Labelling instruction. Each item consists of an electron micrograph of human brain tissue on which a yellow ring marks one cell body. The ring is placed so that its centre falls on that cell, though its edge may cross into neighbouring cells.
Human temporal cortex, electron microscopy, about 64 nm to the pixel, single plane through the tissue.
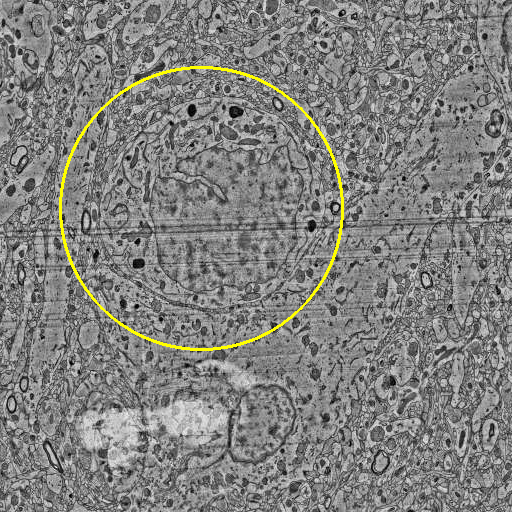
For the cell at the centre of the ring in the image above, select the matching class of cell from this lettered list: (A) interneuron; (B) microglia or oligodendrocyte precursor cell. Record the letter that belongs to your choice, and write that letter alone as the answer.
A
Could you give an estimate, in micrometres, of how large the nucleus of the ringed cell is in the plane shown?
In this plane, roughly 10 micrometres across.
